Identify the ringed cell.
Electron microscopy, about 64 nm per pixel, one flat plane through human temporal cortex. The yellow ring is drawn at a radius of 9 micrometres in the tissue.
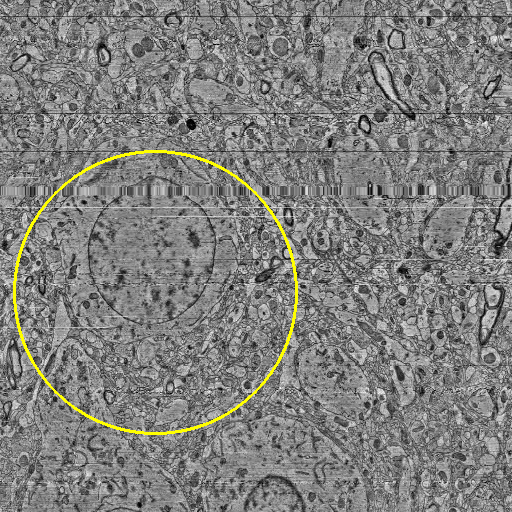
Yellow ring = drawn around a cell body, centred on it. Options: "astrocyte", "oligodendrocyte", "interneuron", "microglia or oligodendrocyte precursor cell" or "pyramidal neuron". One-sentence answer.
What the ring is centred on is a pyramidal neuron.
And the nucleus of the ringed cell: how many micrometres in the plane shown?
In this plane the nucleus measures roughly 10 by 8 micrometers.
